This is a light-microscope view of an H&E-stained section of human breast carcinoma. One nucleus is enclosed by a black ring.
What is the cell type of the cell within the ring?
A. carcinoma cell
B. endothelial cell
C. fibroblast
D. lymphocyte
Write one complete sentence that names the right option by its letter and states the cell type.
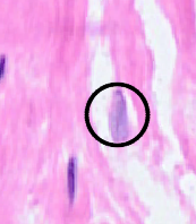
The right option is C, the cell within the ring being a fibroblast.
